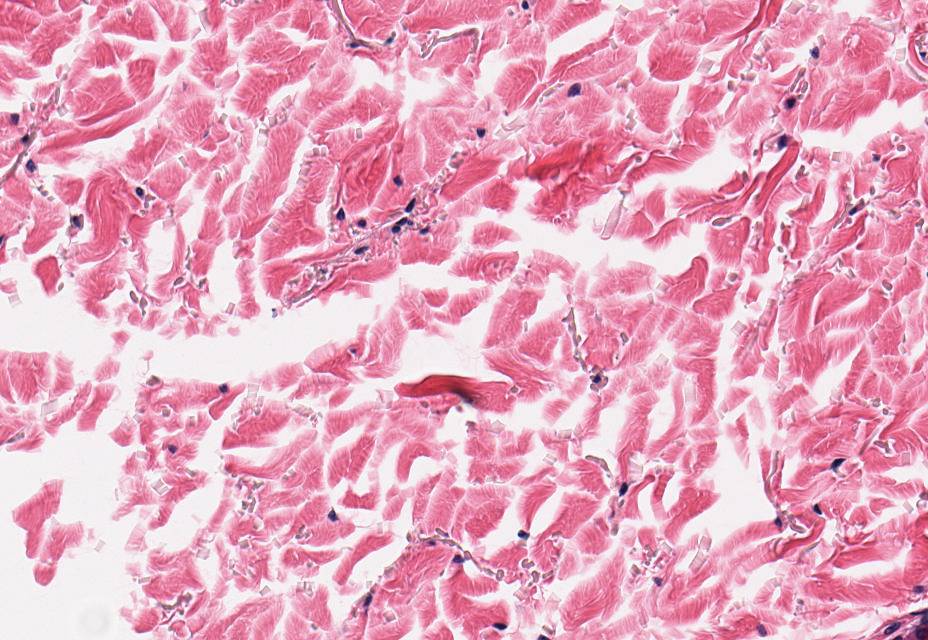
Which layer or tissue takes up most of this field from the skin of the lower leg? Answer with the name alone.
dermis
